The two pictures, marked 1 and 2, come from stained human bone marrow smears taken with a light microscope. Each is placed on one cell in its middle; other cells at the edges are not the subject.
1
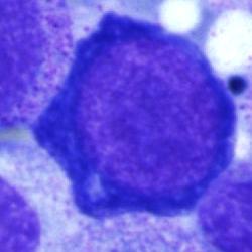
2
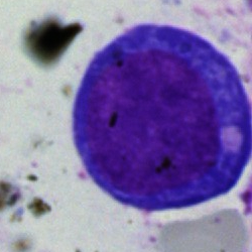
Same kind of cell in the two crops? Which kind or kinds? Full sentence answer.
Yes, that holds, both crops show proerythroblasts.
